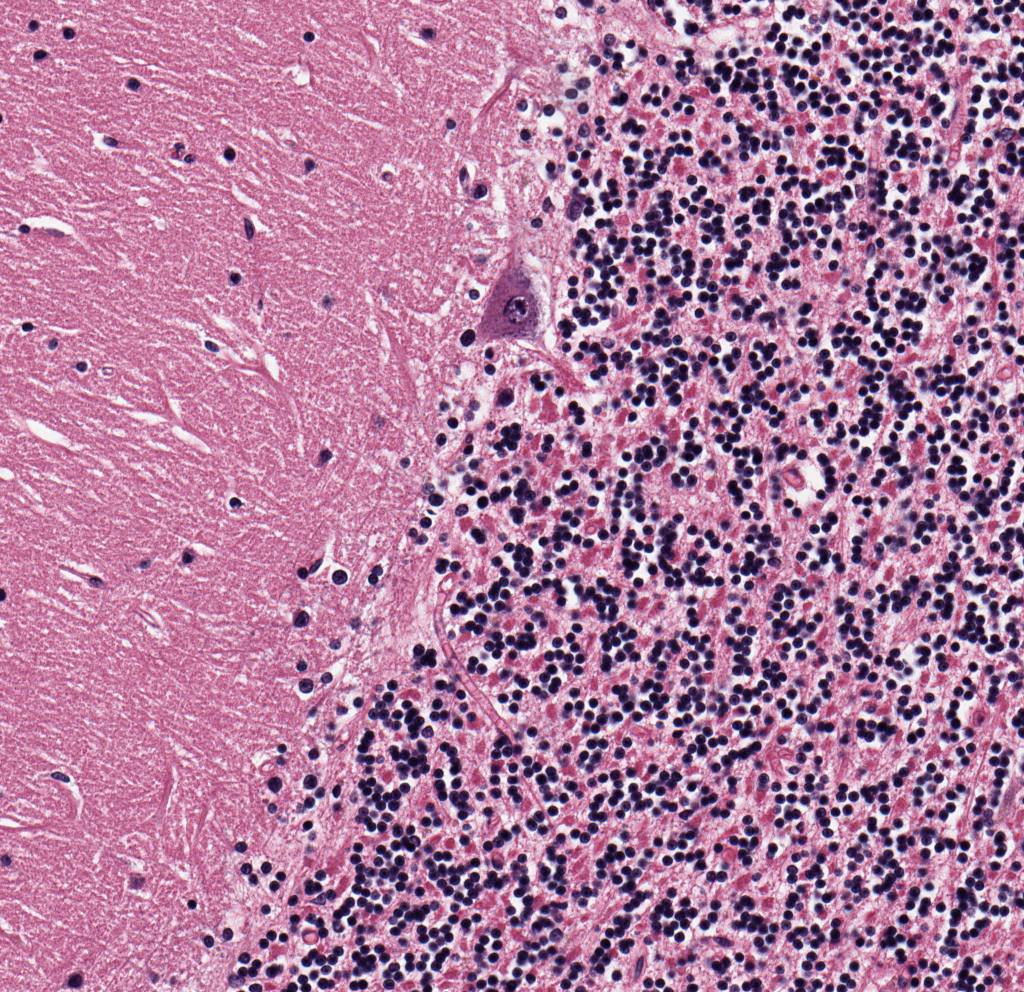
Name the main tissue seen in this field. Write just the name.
granular layer of the cerebellum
